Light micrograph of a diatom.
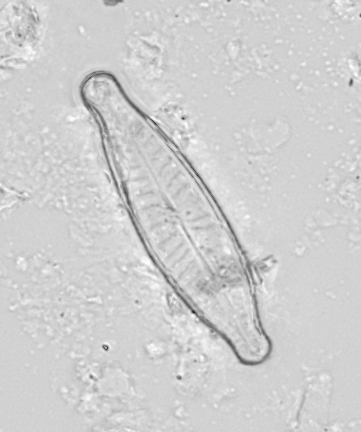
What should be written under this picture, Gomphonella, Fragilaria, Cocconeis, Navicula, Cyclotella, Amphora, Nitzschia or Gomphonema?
Gomphonema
